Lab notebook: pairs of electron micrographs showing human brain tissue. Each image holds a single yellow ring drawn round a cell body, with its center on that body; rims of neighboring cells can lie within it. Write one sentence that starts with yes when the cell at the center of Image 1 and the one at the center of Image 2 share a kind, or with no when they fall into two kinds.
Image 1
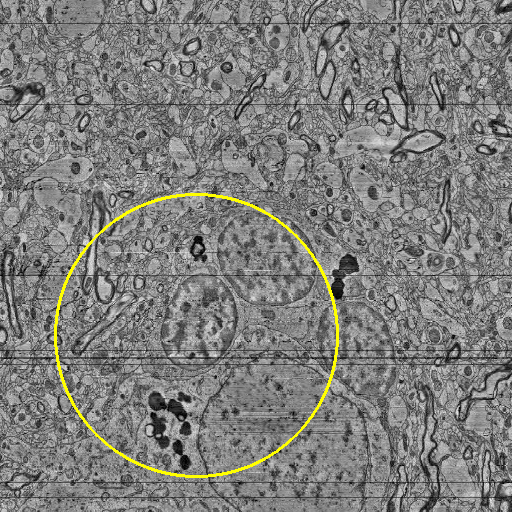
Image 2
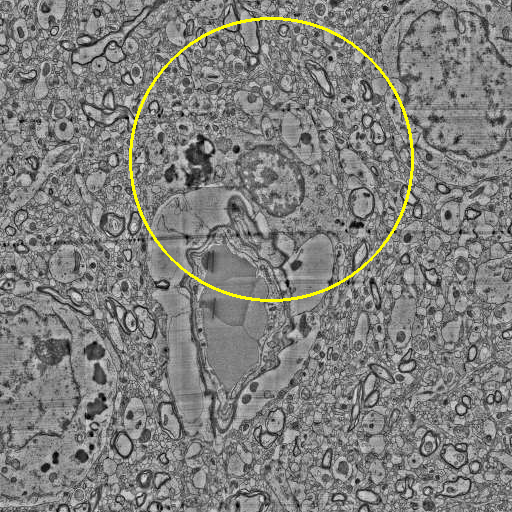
Yes, the centered cell in Image 1 and the centered cell in Image 2 are of one kind.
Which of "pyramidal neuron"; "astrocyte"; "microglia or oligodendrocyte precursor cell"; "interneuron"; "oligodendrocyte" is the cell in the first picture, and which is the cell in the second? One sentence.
In both pictures the ring is centred on an oligodendrocyte.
